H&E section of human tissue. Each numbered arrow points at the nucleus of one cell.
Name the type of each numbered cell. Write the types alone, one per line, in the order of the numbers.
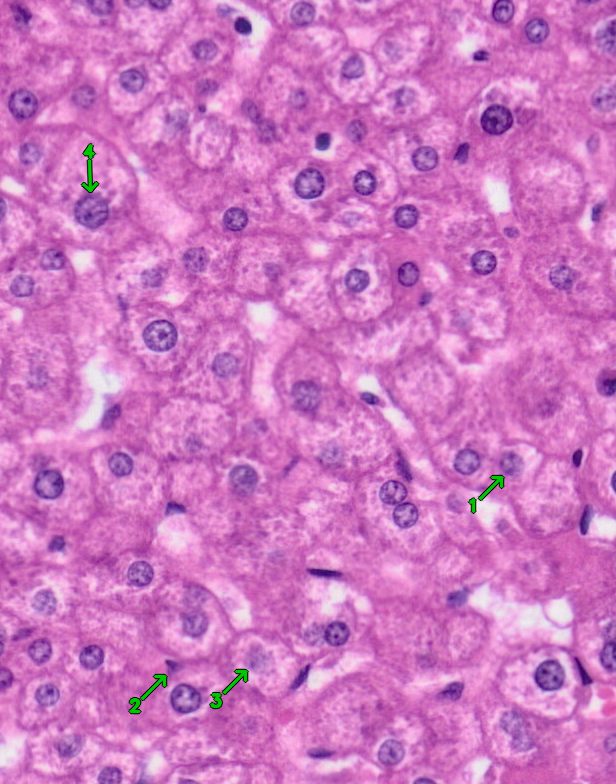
hepatocyte
endothelial cell
hepatocyte
hepatocyte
